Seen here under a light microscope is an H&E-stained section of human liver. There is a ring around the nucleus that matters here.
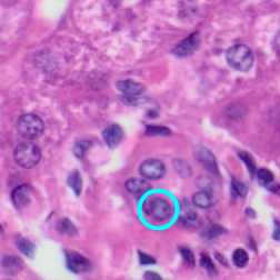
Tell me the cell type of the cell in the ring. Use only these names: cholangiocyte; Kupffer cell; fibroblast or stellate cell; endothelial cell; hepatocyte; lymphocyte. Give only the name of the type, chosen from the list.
cholangiocyte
